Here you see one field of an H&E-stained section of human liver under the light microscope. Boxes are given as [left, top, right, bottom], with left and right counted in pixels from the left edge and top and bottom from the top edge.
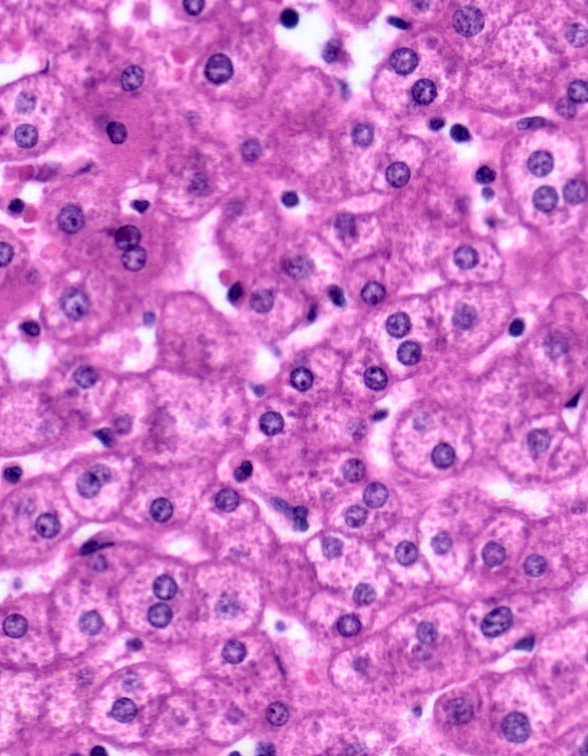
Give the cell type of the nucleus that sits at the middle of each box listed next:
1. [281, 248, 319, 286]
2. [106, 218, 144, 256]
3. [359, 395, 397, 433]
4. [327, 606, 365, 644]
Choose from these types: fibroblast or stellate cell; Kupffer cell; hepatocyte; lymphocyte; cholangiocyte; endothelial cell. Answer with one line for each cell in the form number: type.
1: hepatocyte
2: hepatocyte
3: lymphocyte
4: hepatocyte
